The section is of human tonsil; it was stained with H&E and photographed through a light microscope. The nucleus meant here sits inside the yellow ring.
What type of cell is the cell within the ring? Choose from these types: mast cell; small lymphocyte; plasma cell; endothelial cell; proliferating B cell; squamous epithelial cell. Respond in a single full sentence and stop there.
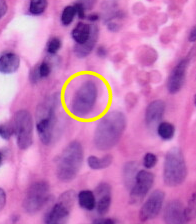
In the stained section, the cell within the ring is an endothelial cell.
